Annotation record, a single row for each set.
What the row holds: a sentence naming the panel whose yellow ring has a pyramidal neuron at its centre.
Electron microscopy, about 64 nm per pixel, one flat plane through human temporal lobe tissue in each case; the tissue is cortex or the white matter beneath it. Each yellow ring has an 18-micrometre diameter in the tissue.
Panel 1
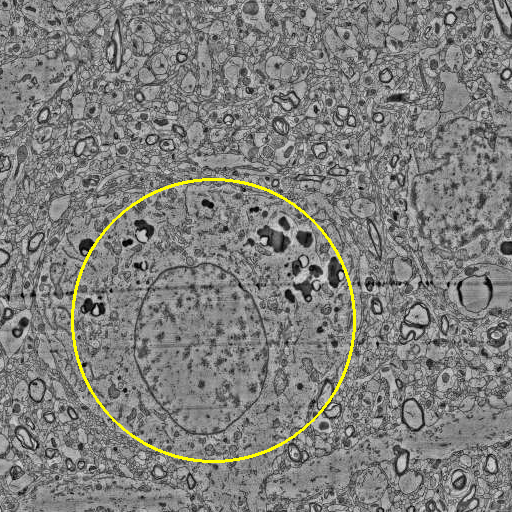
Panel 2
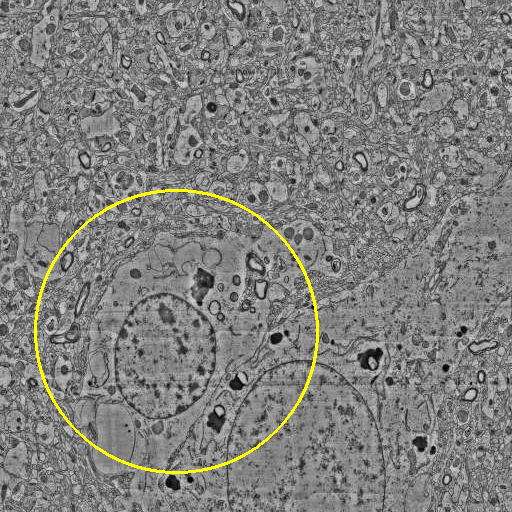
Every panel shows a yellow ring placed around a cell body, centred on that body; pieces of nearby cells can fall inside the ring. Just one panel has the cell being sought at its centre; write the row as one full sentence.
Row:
In panel 1, the cell at the middle of the yellow ring is the one sought.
